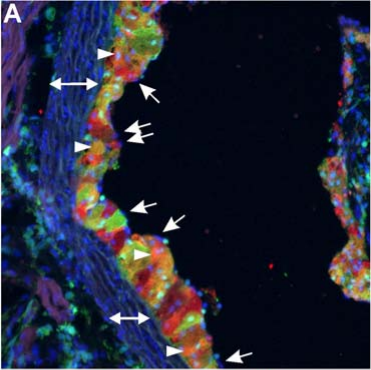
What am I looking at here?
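The lesion is filled with large rounded cells whose cytoplasm is green, many of them orange where red overlaps. Beneath the lesion a band of flattened, parallel-arranged cells with elongated blue nuclei forms the media. On the luminal surface a thin single layer of flat nuclei covers the lesion. The lumen itself is empty and dark.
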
